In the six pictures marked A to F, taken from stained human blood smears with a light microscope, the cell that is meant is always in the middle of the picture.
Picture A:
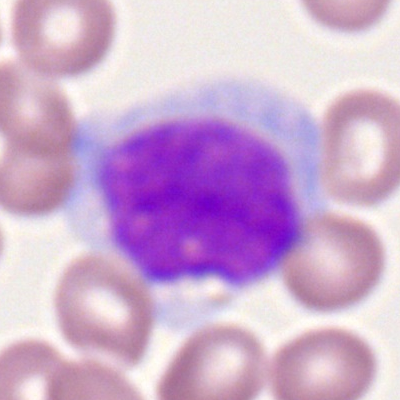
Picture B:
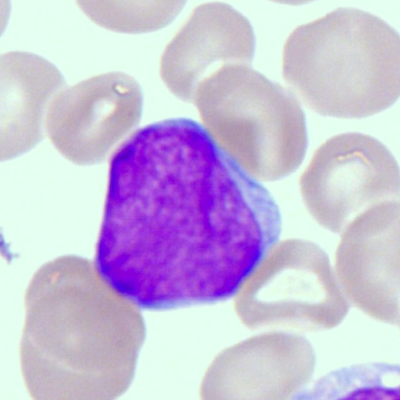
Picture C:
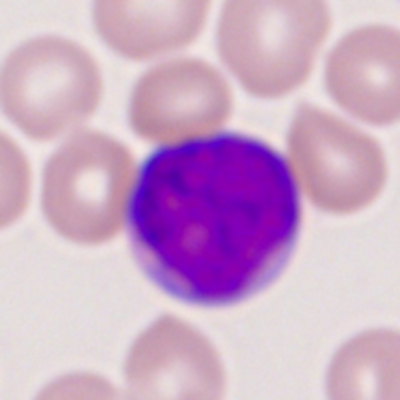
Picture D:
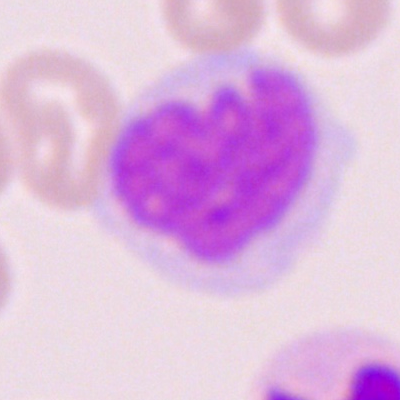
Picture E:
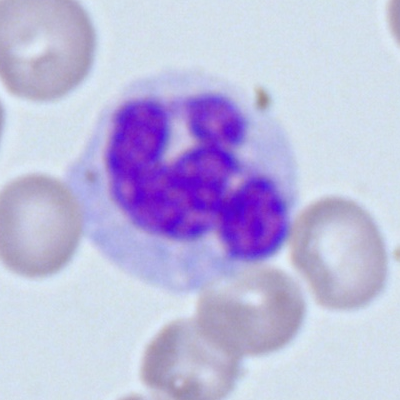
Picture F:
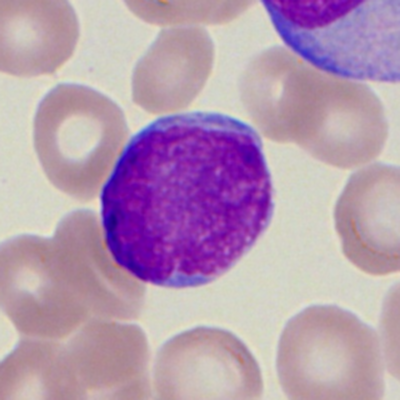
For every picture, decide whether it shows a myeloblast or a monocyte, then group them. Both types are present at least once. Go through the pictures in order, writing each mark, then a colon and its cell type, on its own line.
A: monocyte
B: myeloblast
C: myeloblast
D: monocyte
E: monocyte
F: myeloblast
